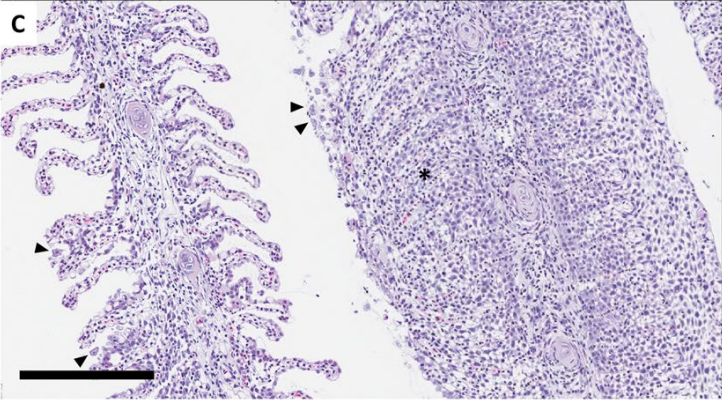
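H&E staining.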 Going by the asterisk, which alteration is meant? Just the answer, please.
Hyperplasia and fusion of lamellar epithelium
